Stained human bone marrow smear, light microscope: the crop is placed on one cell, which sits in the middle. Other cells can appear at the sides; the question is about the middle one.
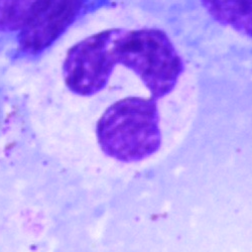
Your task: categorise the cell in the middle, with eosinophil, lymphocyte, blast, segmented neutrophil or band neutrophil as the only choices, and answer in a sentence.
Standing at the centre of this crop is a segmented neutrophil.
